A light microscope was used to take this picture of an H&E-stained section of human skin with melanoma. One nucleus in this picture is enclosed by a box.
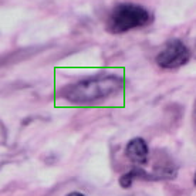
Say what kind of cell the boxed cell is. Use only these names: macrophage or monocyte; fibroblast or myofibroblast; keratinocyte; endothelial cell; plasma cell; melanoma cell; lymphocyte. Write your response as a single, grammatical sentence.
The classification of the boxed cell is as a fibroblast or myofibroblast.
